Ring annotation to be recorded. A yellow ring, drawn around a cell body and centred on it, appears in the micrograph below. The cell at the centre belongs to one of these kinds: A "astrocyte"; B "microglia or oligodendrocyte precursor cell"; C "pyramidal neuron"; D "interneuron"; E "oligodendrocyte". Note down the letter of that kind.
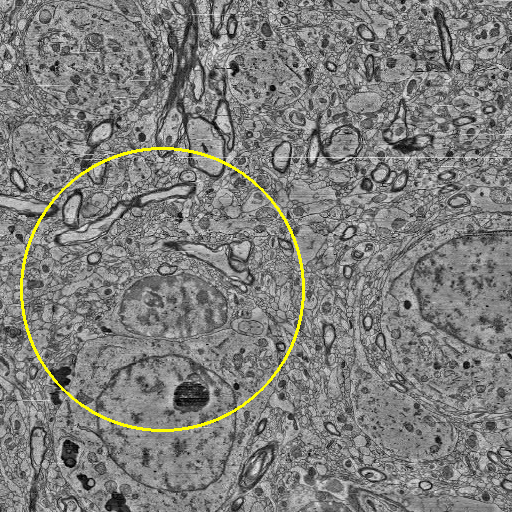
E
